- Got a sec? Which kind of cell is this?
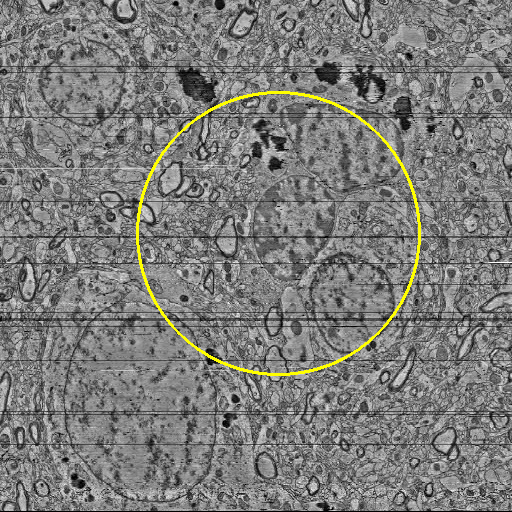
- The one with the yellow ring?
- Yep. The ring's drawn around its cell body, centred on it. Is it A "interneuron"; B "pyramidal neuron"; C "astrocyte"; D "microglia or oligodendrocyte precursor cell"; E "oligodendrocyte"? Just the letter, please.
E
